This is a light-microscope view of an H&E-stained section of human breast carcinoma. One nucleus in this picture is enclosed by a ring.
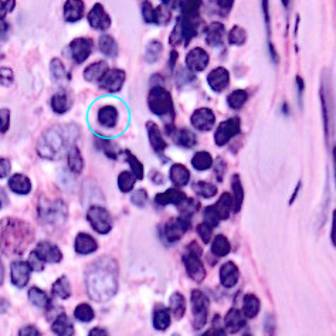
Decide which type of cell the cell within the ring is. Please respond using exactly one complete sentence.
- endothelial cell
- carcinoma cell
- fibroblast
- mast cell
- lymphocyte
Histopathologically, the cell within the ring is a lymphocyte.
